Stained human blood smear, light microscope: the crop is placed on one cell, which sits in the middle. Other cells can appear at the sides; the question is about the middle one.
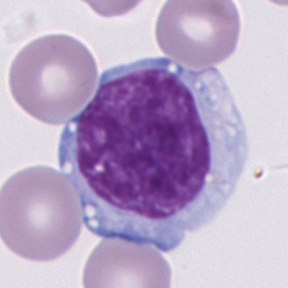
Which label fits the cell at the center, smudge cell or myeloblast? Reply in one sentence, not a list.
The crop shows a myeloblast in its centre.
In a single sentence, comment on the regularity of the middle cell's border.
Rather than running smoothly, the cell border is ragged or carries projections.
